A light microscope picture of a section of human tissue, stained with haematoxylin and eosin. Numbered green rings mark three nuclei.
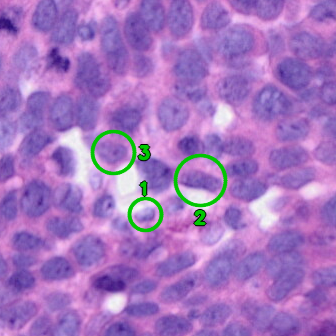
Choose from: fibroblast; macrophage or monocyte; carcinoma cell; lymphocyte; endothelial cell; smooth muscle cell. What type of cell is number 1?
macrophage or monocyte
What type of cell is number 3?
carcinoma cell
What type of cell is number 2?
carcinoma cell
